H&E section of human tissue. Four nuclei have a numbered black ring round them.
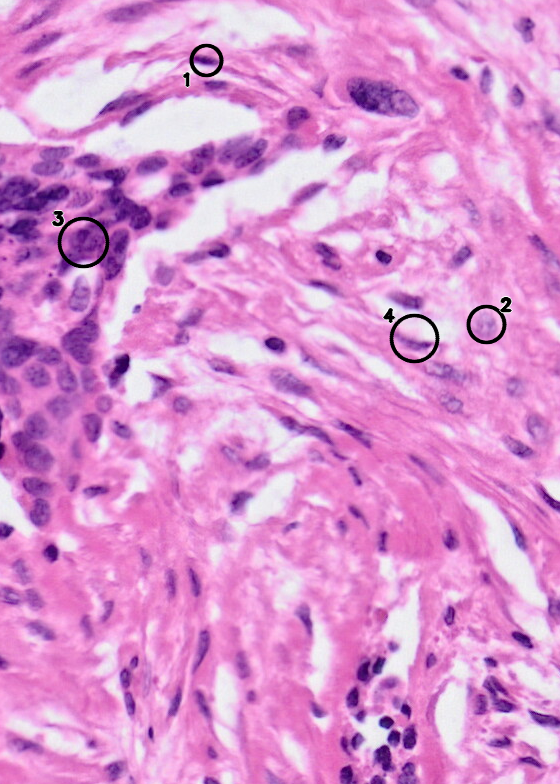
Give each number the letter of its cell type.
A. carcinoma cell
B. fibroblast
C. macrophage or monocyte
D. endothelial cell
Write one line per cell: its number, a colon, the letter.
1: B
2: B
3: A
4: B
